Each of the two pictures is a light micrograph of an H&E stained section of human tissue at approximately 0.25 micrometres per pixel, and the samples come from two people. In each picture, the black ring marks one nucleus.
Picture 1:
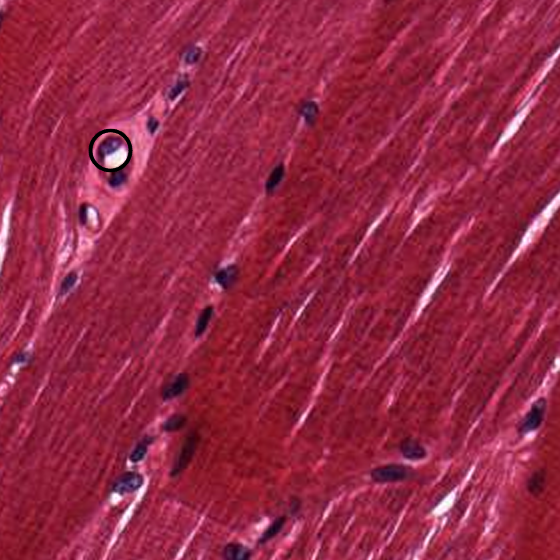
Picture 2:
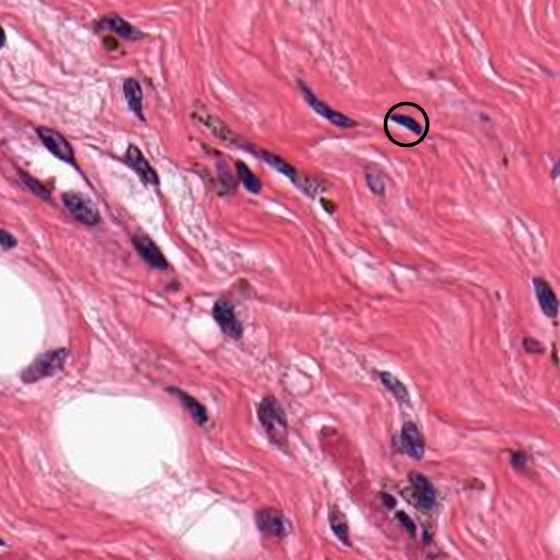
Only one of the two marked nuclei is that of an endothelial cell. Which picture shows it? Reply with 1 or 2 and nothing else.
1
